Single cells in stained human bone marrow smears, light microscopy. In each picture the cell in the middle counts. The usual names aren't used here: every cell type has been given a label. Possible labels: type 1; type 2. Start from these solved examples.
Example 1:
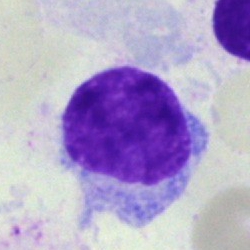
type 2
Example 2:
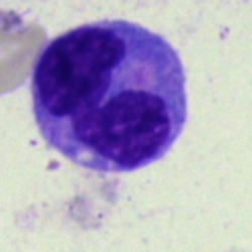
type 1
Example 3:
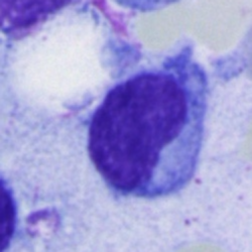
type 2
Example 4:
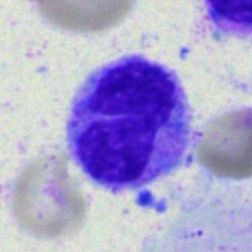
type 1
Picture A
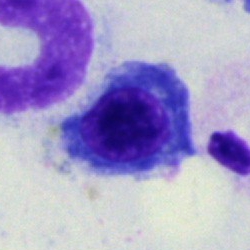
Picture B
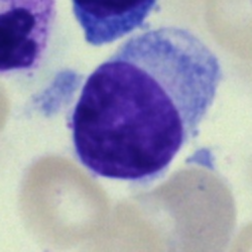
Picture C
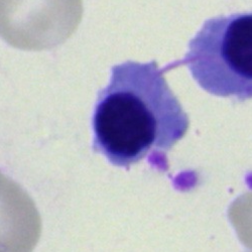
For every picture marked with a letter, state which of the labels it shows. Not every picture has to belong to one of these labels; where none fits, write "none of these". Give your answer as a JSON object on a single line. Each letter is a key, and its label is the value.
{"A": "none of these", "B": "type 2", "C": "none of these"}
